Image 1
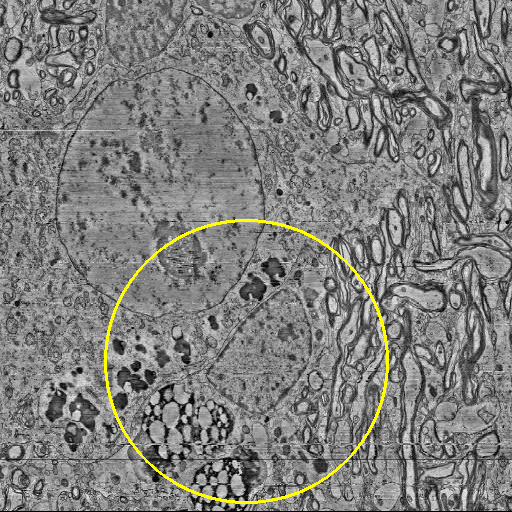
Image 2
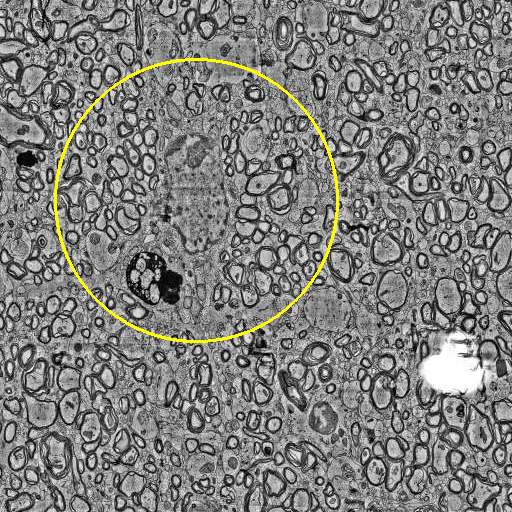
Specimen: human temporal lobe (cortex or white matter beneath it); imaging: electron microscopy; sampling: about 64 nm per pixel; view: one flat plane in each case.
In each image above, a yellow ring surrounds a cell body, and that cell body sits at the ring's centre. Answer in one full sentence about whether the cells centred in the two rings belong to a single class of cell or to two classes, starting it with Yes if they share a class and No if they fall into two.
Yes, the cells centred in the two yellow rings belong to a single class of cell.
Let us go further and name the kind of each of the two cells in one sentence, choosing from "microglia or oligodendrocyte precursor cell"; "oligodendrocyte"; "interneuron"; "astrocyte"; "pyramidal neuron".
Both the first and the second picture show an astrocyte in the ring.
